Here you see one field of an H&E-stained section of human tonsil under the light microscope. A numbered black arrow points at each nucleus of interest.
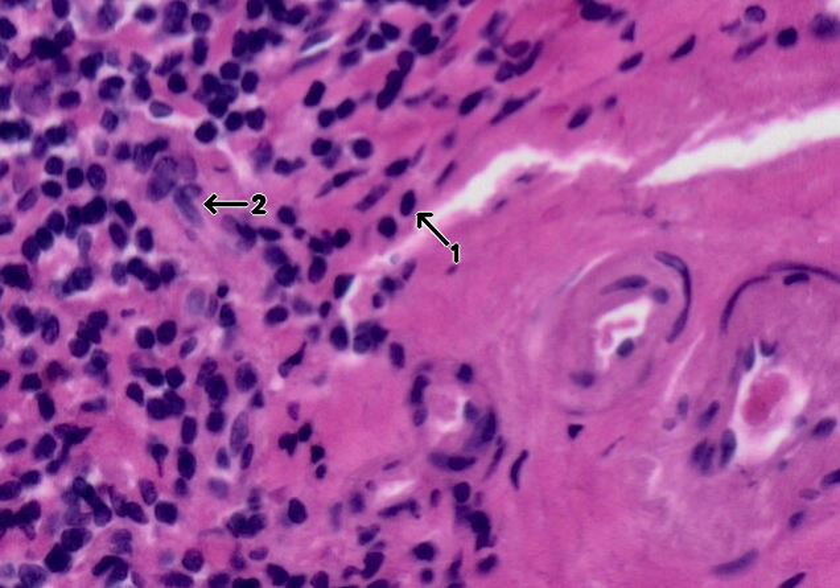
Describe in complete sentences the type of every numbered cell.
Cell 1 is a mast cell and cell 2 is an endothelial cell.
